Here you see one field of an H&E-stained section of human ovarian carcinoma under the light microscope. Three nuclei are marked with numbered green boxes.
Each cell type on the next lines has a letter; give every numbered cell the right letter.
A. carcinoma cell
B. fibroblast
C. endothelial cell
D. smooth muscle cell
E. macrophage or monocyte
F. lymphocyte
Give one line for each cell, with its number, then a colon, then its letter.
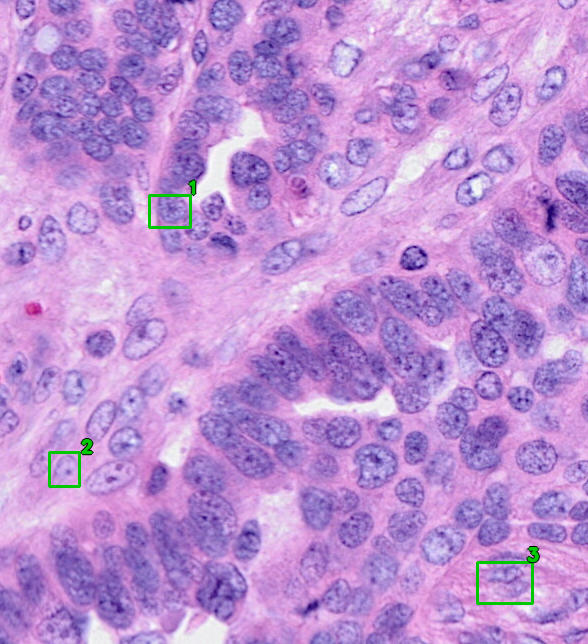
1: A
2: B
3: B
